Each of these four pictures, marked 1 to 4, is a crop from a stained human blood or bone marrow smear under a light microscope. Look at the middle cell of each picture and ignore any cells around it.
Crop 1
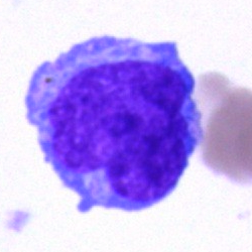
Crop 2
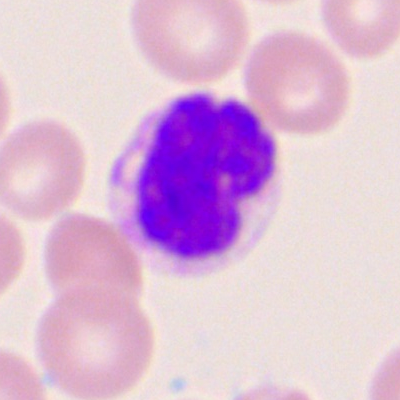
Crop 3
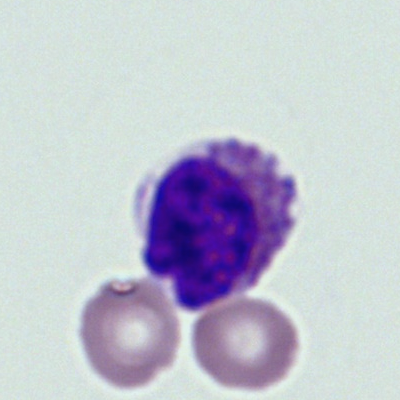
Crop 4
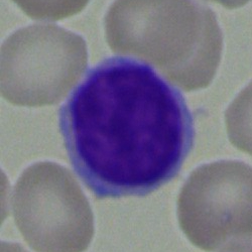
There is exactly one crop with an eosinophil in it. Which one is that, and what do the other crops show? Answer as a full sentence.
The cell of interest in crop 3 is an eosinophil, while crop 1 is a blast, crop 2 is a basophil and crop 4 is a lymphocyte.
